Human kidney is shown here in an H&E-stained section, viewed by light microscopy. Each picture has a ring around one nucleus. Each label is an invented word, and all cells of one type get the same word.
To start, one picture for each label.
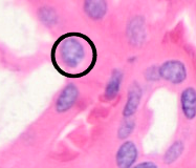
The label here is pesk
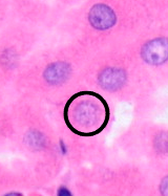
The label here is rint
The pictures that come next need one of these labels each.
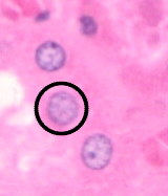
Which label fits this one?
rint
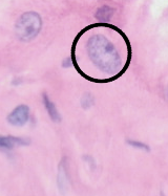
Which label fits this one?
rint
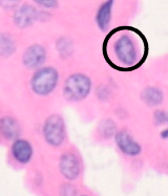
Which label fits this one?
pesk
